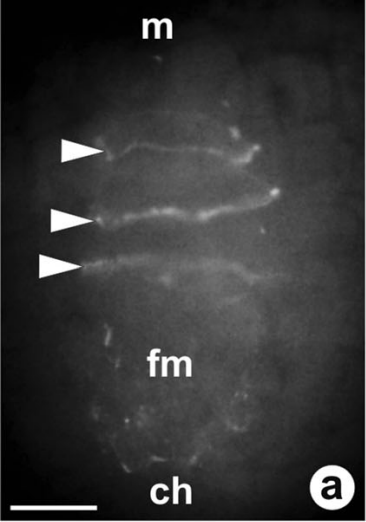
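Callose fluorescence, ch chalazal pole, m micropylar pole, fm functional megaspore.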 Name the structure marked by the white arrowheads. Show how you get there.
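Three thin bright bands run across the elongated cell row. That points to this answer: transversal walls.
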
